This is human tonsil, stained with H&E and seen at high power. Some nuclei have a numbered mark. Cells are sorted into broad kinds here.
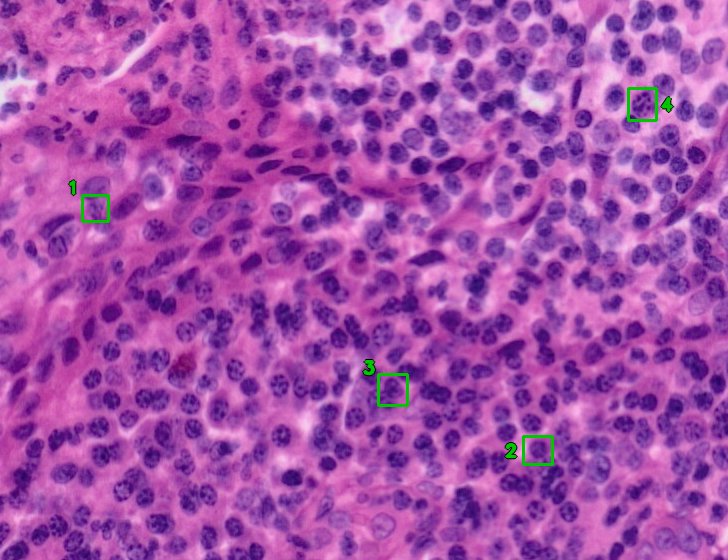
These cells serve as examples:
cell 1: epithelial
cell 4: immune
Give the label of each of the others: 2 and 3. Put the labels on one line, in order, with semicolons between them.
immune; immune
